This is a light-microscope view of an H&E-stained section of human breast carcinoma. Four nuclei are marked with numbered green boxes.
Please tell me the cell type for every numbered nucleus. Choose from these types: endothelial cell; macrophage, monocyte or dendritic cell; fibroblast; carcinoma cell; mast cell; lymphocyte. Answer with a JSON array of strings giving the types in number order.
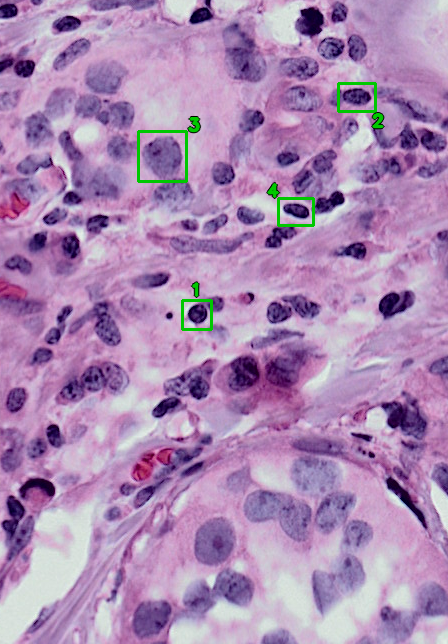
["lymphocyte", "lymphocyte", "carcinoma cell", "lymphocyte"]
